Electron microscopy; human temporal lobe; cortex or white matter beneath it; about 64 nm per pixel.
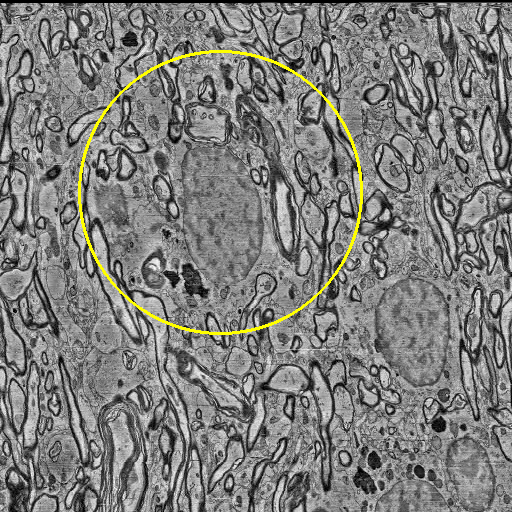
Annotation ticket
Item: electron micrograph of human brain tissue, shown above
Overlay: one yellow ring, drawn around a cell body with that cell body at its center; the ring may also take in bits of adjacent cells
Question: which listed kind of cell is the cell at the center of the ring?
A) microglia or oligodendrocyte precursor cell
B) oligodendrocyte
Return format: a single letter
B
